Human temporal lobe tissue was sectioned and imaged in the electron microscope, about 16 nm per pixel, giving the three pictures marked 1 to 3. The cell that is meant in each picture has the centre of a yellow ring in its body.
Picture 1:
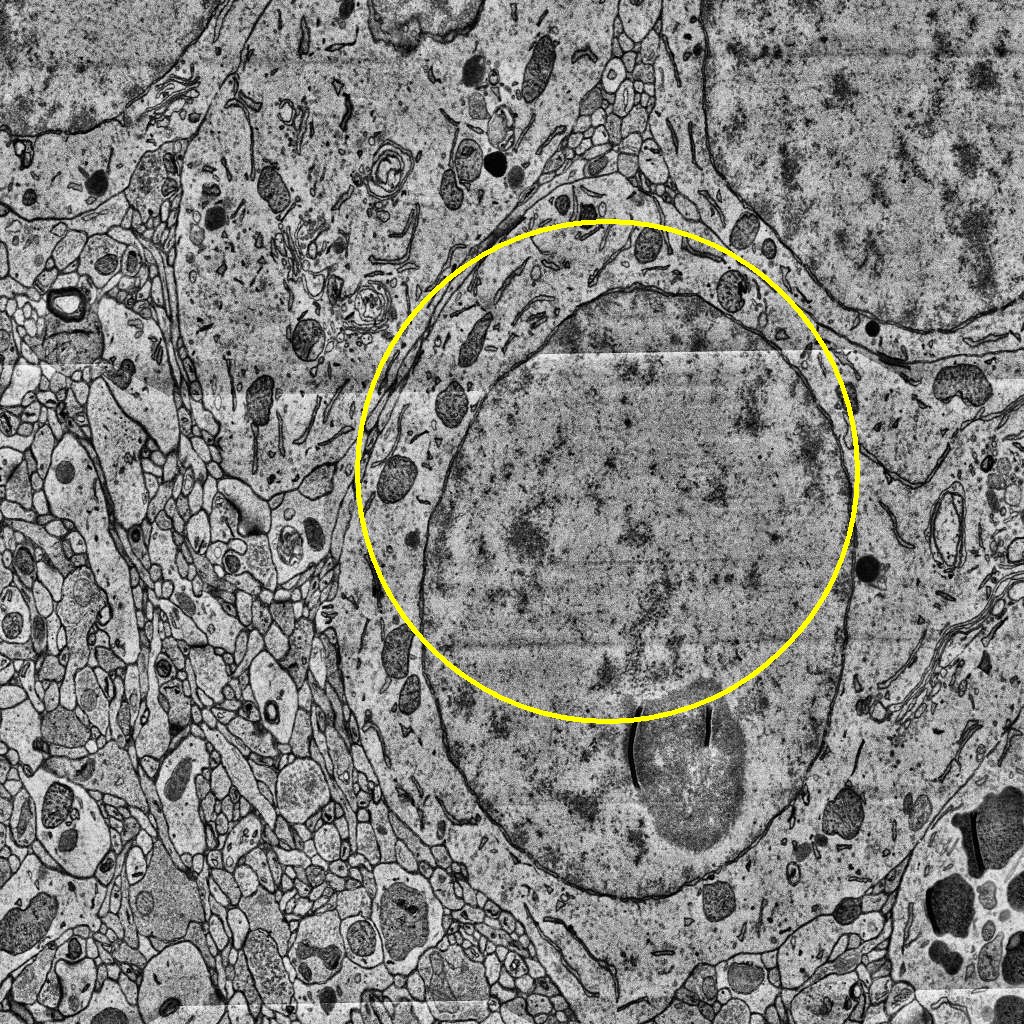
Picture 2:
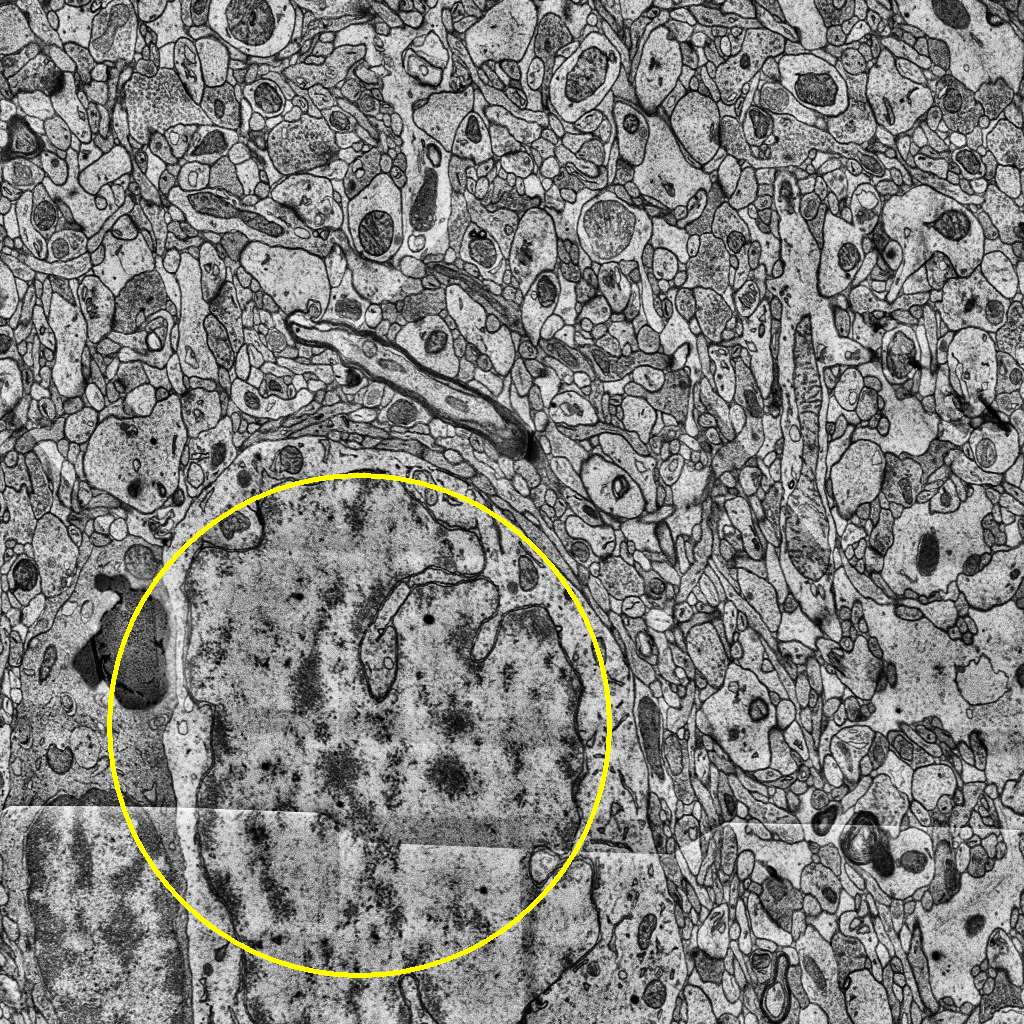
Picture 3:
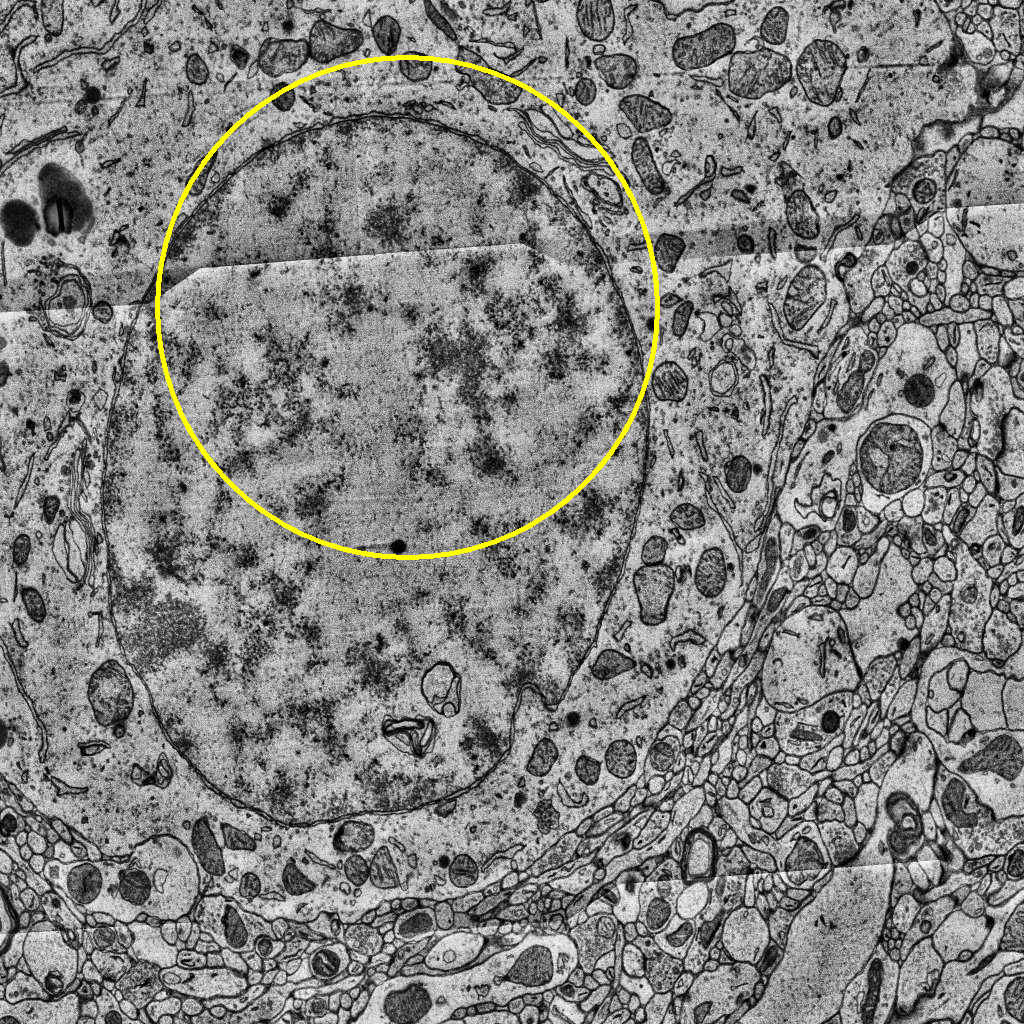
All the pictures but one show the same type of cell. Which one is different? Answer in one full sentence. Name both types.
The different one is picture 1; it shows a pyramidal neuron, whereas all the others show interneurons.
